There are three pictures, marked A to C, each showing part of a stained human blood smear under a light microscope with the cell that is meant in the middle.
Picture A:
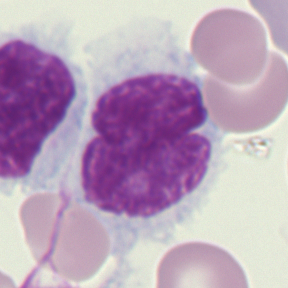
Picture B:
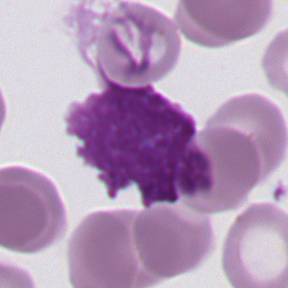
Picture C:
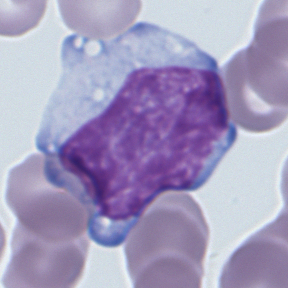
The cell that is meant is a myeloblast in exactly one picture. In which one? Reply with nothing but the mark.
C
